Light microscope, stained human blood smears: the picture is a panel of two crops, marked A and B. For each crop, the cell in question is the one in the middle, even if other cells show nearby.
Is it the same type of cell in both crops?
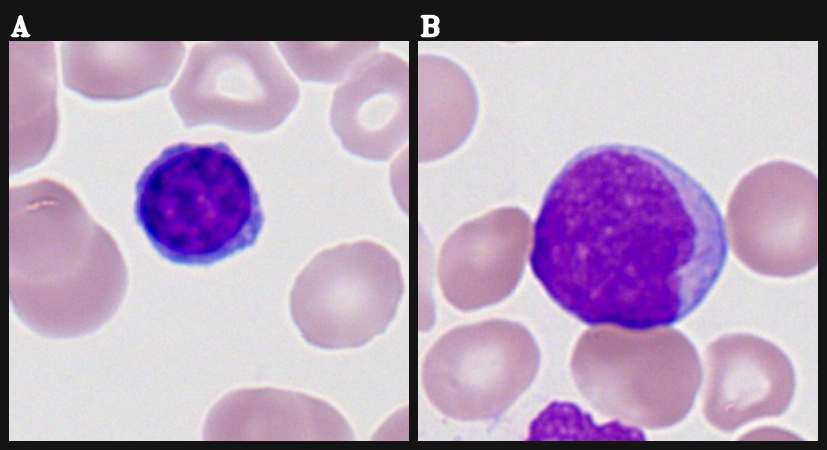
no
